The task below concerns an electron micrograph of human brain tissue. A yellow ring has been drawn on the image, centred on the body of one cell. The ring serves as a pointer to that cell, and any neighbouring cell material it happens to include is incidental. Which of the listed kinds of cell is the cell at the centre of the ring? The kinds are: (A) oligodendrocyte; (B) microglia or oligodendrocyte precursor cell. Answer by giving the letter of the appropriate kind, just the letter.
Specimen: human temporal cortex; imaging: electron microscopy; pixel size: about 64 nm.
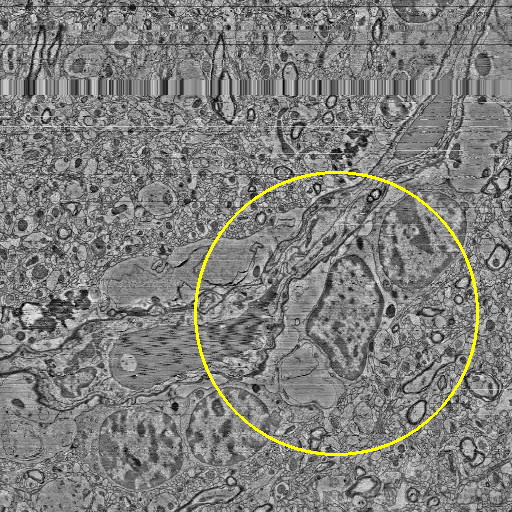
B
